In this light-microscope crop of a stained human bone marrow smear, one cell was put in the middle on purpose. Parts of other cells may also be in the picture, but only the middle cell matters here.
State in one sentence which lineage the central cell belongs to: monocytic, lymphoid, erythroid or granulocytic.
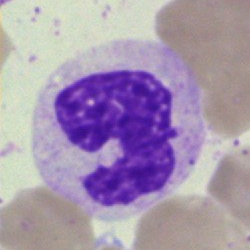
The lineage to which the central cell belongs is the granulocytic lineage.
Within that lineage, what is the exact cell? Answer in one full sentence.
The central element of this crop is a cell, namely a segmented neutrophil.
